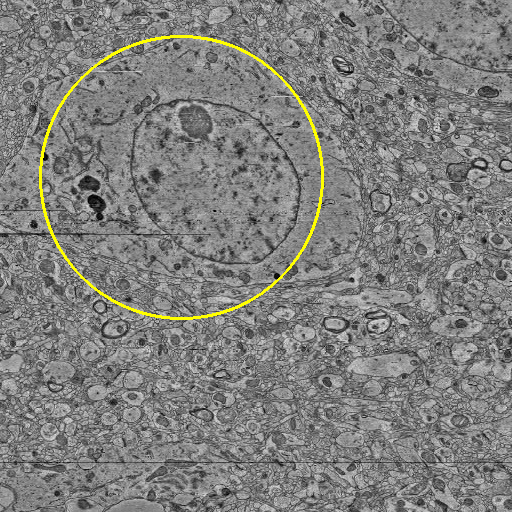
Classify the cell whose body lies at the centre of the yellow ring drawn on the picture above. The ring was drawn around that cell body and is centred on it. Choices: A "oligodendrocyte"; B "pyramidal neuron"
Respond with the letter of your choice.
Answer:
B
